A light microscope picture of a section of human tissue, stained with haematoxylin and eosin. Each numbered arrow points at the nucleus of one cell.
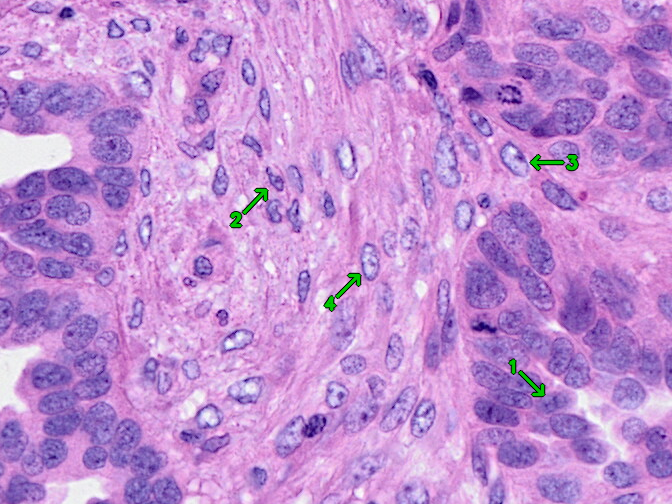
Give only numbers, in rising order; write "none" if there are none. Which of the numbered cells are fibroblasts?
2, 3, 4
